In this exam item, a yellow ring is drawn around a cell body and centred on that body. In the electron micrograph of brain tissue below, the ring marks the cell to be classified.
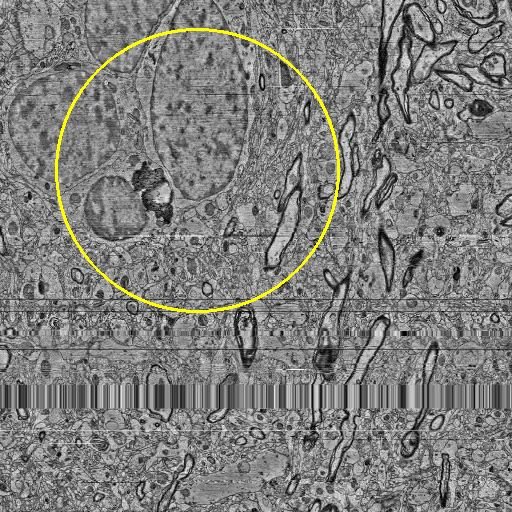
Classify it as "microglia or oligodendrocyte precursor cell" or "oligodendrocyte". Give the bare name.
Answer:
microglia or oligodendrocyte precursor cell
